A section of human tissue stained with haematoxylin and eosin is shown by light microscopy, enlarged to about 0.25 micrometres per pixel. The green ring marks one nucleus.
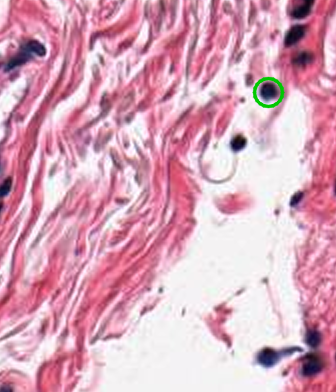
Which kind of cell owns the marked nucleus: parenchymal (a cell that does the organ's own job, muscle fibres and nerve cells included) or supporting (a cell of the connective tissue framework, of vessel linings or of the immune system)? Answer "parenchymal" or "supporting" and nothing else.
supporting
